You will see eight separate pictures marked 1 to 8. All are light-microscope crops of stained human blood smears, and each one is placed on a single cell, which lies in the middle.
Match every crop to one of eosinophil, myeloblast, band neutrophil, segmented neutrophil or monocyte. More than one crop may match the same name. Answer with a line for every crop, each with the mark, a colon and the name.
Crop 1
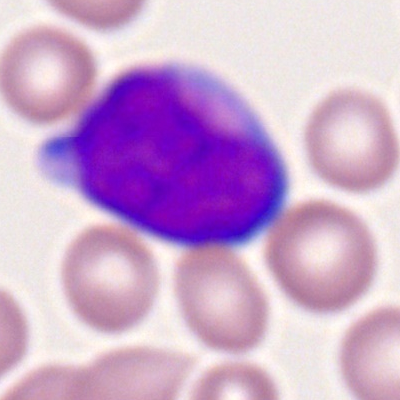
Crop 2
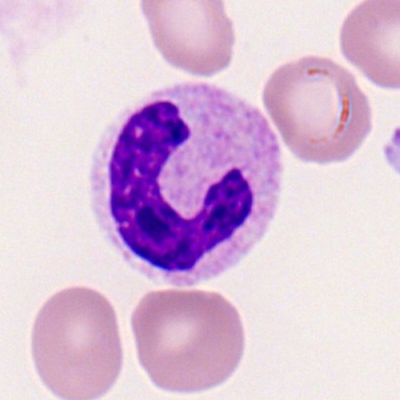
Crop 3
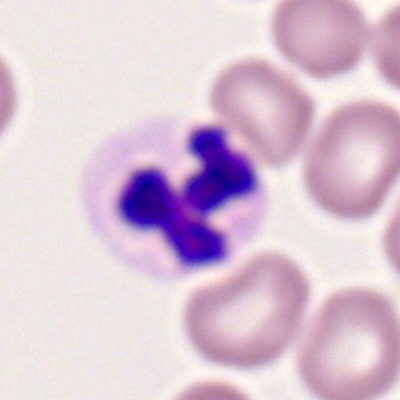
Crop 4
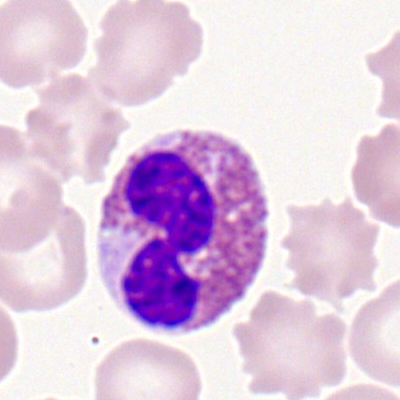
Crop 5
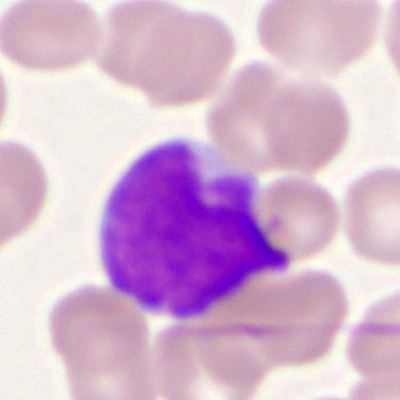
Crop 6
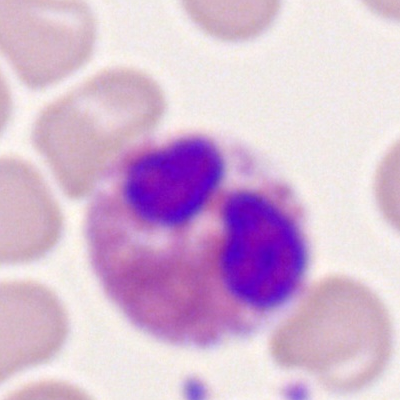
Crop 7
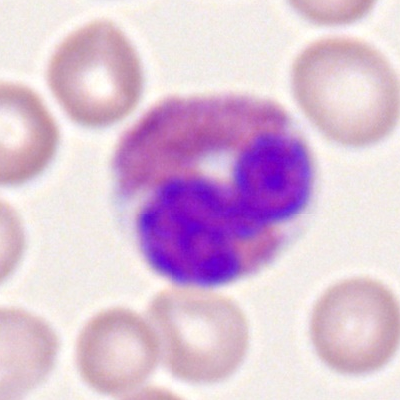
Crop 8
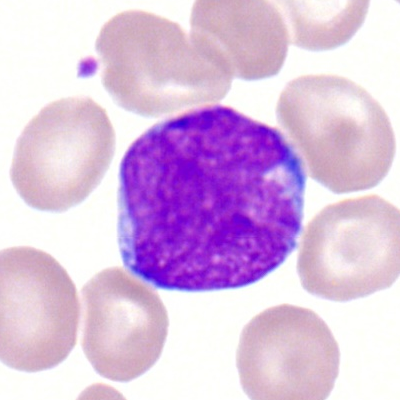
1: myeloblast
2: band neutrophil
3: segmented neutrophil
4: eosinophil
5: myeloblast
6: eosinophil
7: eosinophil
8: myeloblast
